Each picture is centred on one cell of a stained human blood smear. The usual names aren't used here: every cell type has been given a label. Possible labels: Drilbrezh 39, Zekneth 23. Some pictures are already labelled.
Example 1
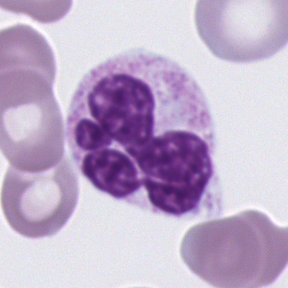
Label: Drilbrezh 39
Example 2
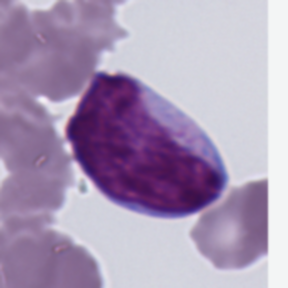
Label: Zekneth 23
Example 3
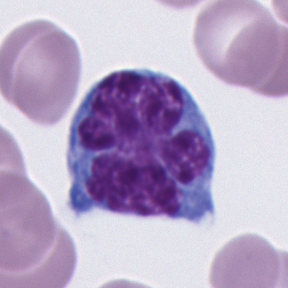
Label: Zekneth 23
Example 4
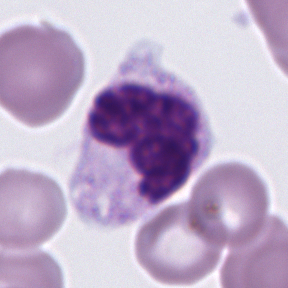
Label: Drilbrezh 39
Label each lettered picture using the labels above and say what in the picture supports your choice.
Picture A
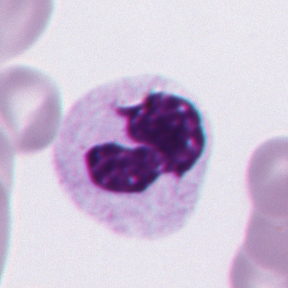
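Drilbrezh 39. Reason: The nucleus is made of two dense masses joined by a narrower strip.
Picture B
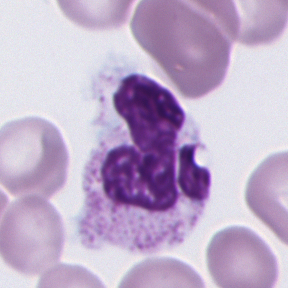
Drilbrezh 39. Reason: The cytoplasm between the granules is pale and nearly colourless.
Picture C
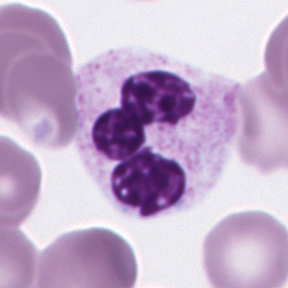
Drilbrezh 39. Reason: The cytoplasm is plentiful and pale pink.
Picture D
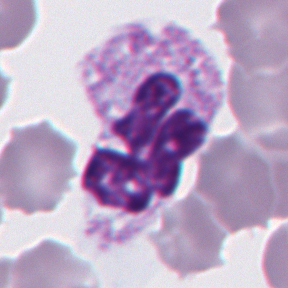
Drilbrezh 39. Reason: The nucleus is divided into three lobes joined to one another.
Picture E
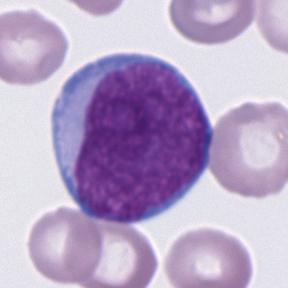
Zekneth 23. Reason: The cytoplasm is blue and deepest in colour at the outer edge of the cell.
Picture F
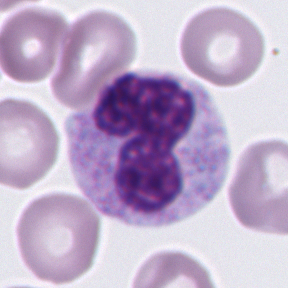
Drilbrezh 39. Reason: The cytoplasm is abundant and pale lilac.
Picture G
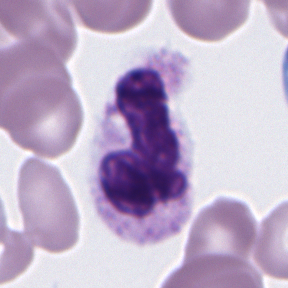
Drilbrezh 39. Reason: The cytoplasm is pale and nearly colourless apart from its granules.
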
